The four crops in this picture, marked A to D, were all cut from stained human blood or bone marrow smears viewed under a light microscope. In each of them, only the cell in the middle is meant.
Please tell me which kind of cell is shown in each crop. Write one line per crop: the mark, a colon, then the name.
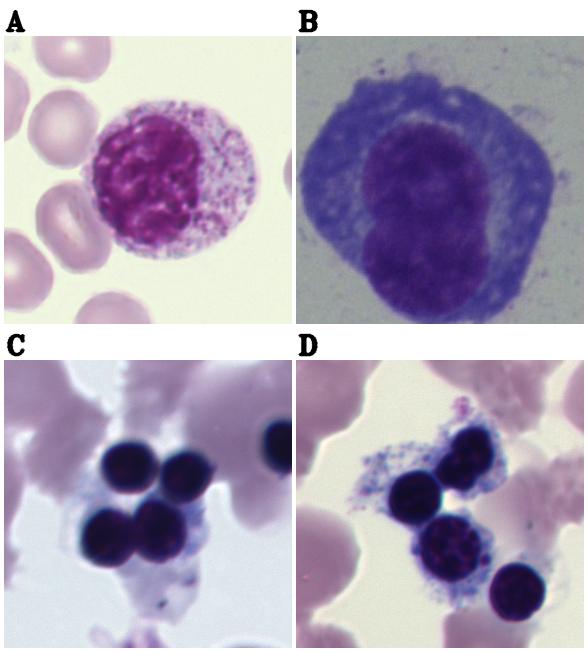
A: myelocyte
B: plasma cell
C: erythroblast
D: erythroblast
